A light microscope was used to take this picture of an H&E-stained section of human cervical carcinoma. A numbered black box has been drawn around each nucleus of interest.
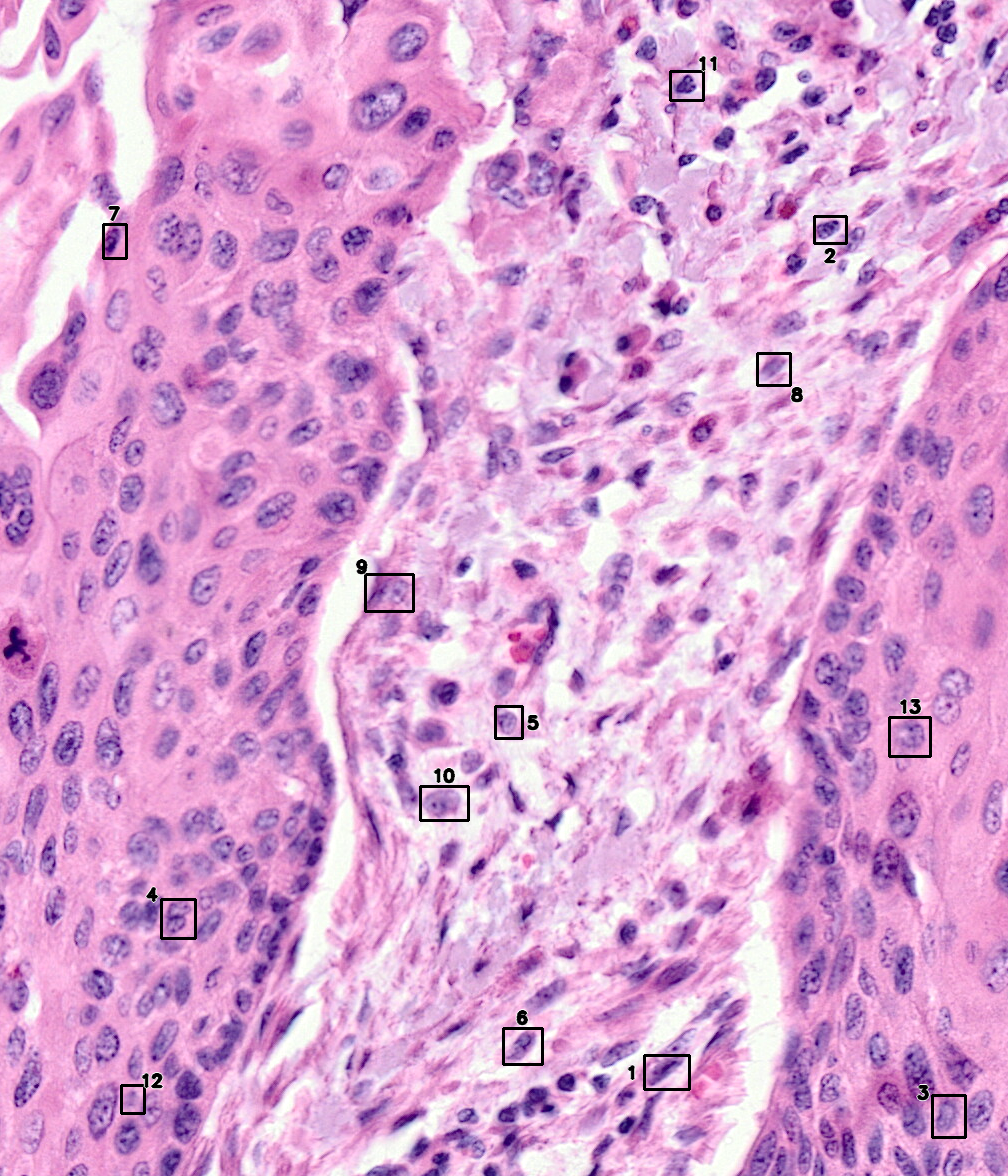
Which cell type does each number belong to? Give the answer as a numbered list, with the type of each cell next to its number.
1. fibroblast
2. lymphocyte
3. squamous carcinoma cell
4. squamous carcinoma cell
5. macrophage or monocyte
6. macrophage or monocyte
7. squamous carcinoma cell
8. fibroblast
9. fibroblast
10. fibroblast
11. lymphocyte
12. squamous carcinoma cell
13. squamous carcinoma cell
